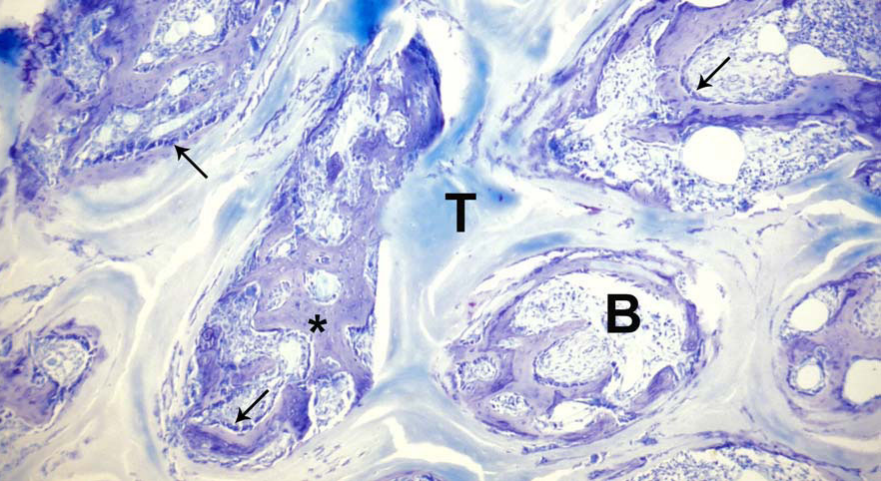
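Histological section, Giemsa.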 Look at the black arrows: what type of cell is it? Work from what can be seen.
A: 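Small cells lie in a row along the surface of the purple matrix. The marked cells line the edge of the matrix islands inside the pores.
Osteoblastic cells.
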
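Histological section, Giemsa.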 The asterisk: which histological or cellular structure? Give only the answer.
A: Mineralized matrix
